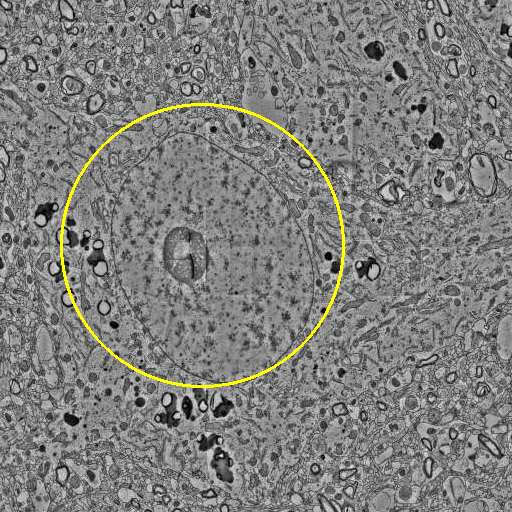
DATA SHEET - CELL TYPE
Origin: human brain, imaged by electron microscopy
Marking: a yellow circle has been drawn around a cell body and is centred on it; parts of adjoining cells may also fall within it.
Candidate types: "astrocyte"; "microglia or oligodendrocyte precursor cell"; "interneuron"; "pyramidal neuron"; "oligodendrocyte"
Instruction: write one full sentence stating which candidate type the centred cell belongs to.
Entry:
The cell body at the centre of the yellow ring in this micrograph belongs to a pyramidal neuron.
